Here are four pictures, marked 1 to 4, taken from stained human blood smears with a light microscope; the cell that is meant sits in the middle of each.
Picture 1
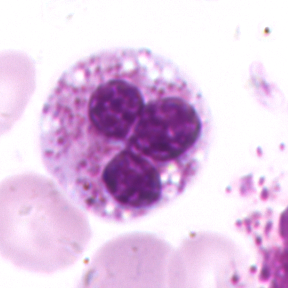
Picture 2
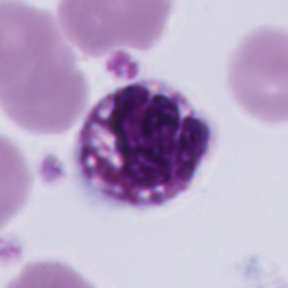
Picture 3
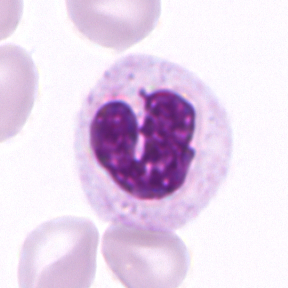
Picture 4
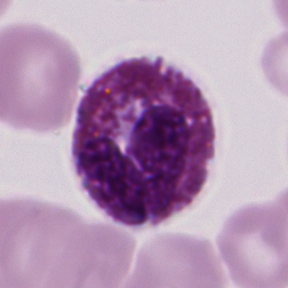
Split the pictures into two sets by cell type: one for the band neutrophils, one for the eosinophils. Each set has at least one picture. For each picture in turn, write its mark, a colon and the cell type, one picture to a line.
1: eosinophil
2: eosinophil
3: band neutrophil
4: eosinophil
